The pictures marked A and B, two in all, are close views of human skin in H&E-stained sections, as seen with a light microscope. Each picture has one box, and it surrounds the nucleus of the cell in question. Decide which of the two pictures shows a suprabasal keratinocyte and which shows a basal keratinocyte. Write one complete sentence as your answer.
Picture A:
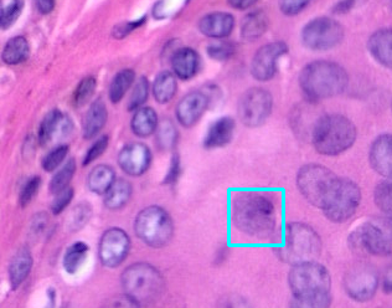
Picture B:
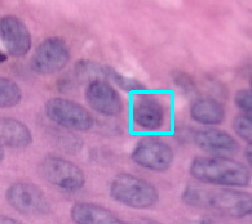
Picture A is of a suprabasal keratinocyte, and picture B is of a basal keratinocyte.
